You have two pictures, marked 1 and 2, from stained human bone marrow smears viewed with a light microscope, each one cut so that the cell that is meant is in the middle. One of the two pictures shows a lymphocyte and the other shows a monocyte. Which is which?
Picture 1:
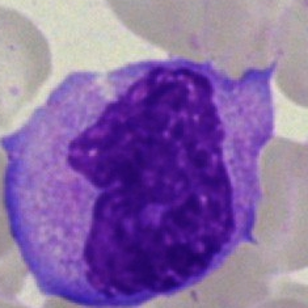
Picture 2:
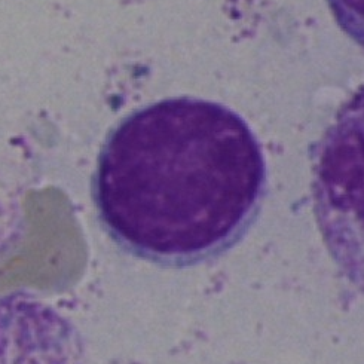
1: monocyte
2: lymphocyte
